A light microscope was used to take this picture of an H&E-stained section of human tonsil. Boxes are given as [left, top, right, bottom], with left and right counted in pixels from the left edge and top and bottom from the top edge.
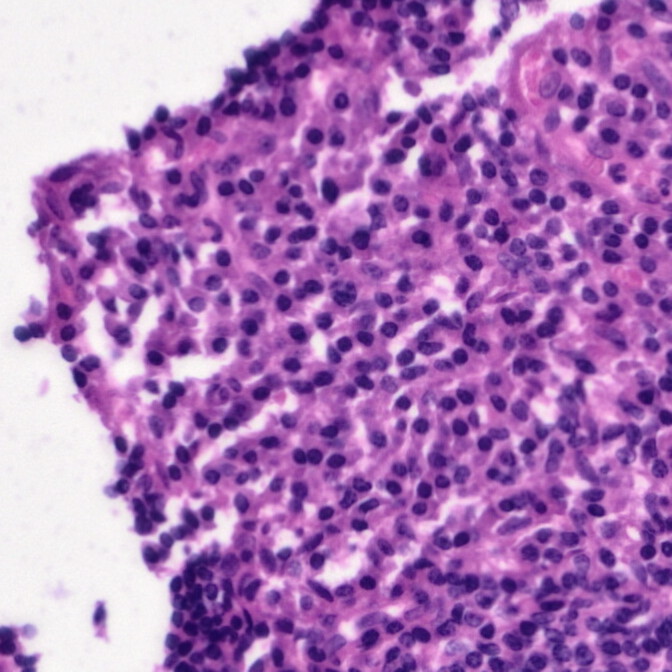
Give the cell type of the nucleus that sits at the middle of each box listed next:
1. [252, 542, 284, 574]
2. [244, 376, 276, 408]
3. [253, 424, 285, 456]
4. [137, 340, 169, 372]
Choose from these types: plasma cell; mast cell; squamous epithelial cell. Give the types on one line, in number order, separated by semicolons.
squamous epithelial cell; plasma cell; plasma cell; plasma cell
